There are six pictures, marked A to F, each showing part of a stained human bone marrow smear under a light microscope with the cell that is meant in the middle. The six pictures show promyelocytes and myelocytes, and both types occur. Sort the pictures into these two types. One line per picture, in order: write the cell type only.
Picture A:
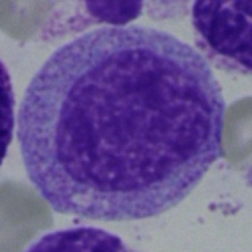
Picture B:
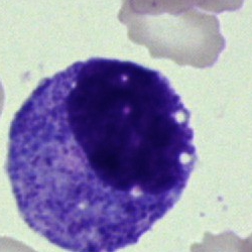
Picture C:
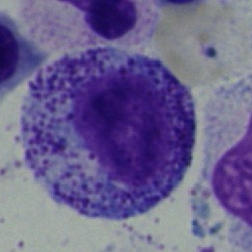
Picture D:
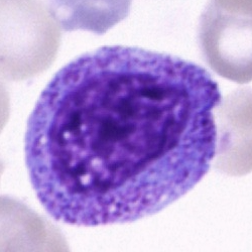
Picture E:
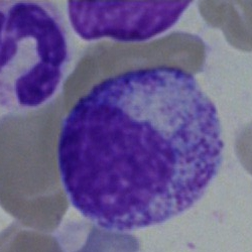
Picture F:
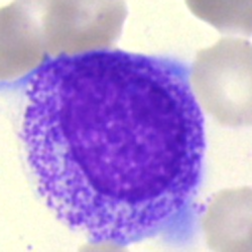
promyelocyte
promyelocyte
promyelocyte
promyelocyte
myelocyte
myelocyte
